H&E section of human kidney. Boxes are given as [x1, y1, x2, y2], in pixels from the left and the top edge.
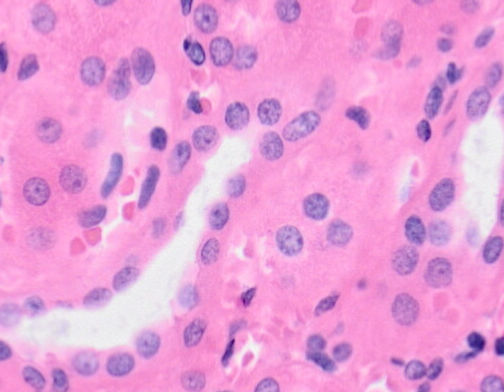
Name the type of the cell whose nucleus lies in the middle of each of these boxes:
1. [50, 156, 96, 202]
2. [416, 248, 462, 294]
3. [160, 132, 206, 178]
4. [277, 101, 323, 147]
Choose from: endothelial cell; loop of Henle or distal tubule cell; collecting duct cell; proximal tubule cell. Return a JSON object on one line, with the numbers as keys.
{"1": "proximal tubule cell", "2": "collecting duct cell", "3": "collecting duct cell", "4": "collecting duct cell"}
